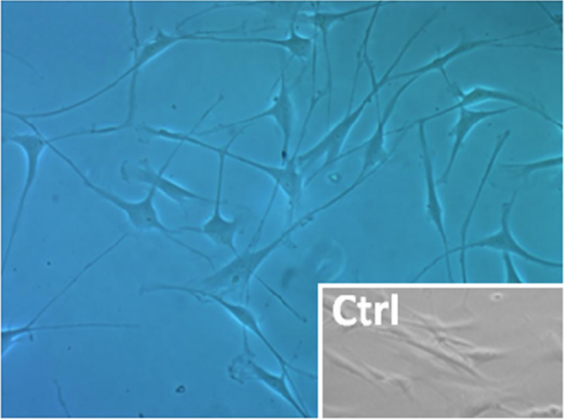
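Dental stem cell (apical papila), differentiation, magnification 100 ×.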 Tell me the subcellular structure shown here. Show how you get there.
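Cells with small bodies give off long, thin processes. The processes extend across the field and reach neighbouring cells.
Conclusion: Slender projections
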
